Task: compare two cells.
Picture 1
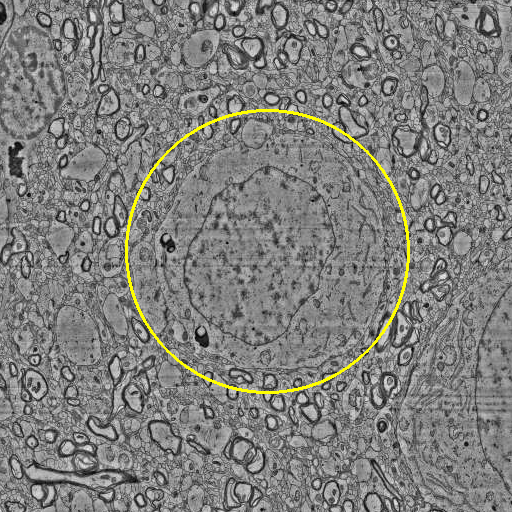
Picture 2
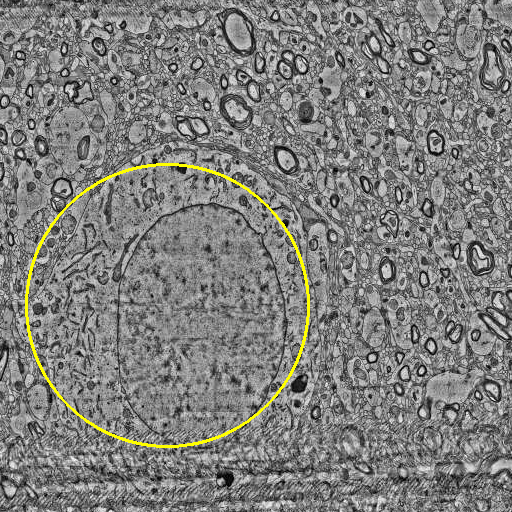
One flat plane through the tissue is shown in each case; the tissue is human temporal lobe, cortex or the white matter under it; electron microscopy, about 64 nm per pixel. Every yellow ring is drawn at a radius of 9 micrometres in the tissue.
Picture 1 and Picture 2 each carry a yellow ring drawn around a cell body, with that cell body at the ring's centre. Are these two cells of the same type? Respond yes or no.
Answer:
yes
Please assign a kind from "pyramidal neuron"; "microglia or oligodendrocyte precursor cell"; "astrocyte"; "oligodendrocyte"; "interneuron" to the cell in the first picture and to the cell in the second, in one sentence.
The first and the second cell are each a pyramidal neuron.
